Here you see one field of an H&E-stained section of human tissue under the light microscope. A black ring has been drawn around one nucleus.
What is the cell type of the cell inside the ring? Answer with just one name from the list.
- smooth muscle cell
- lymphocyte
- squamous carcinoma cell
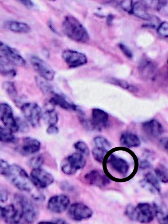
lymphocyte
